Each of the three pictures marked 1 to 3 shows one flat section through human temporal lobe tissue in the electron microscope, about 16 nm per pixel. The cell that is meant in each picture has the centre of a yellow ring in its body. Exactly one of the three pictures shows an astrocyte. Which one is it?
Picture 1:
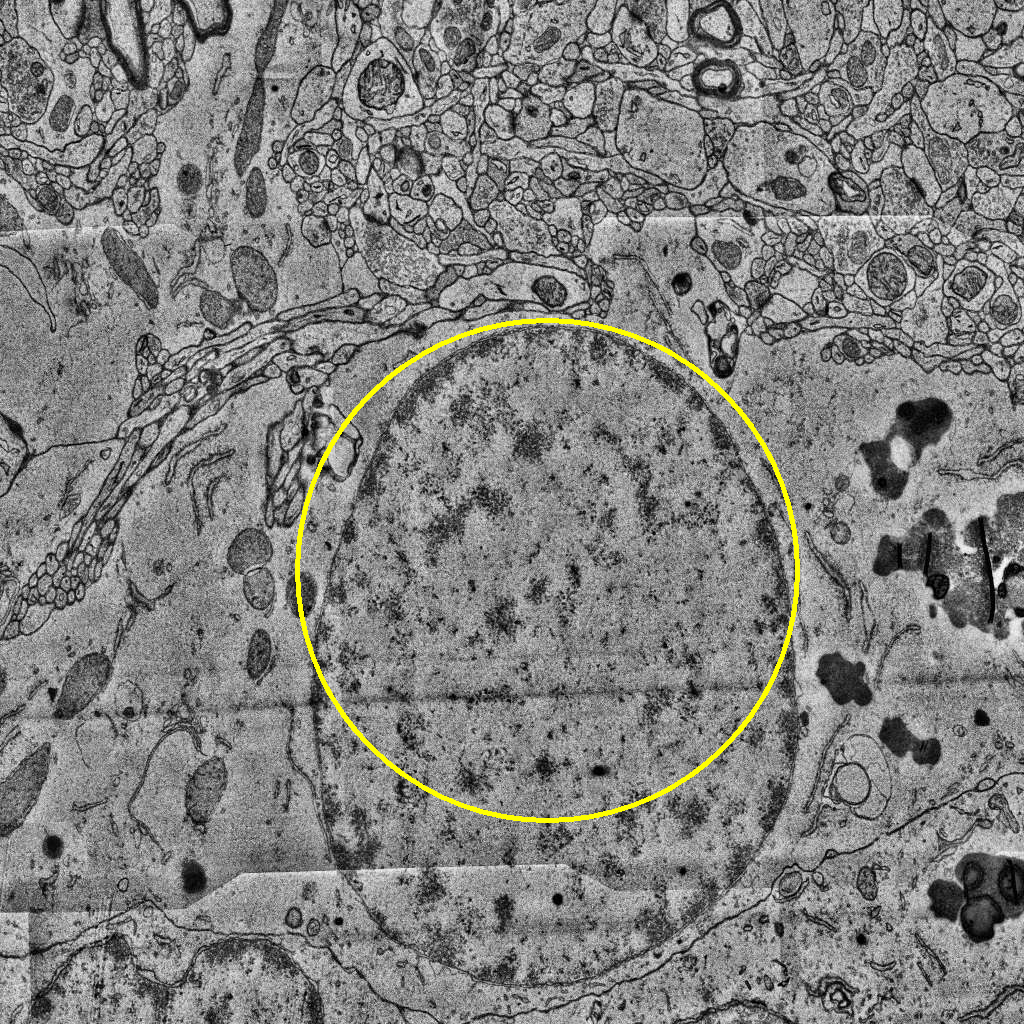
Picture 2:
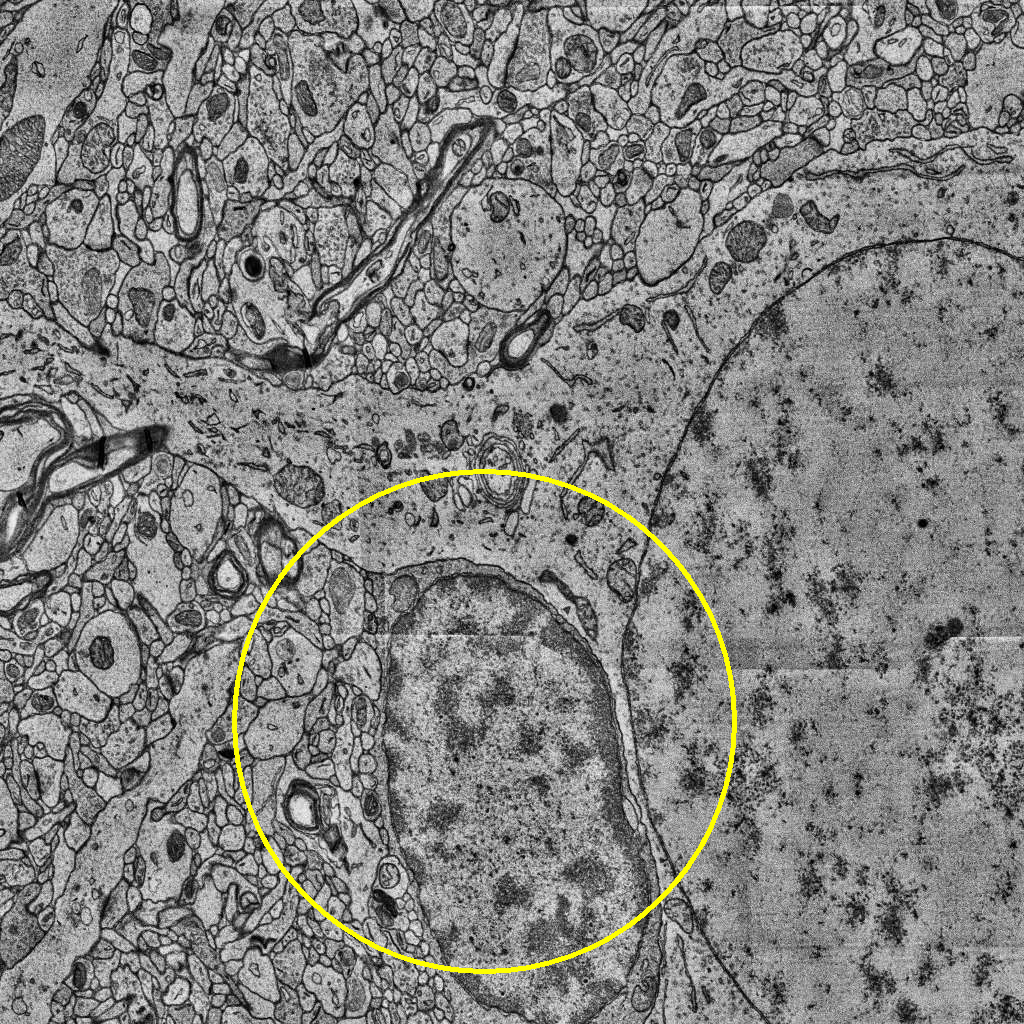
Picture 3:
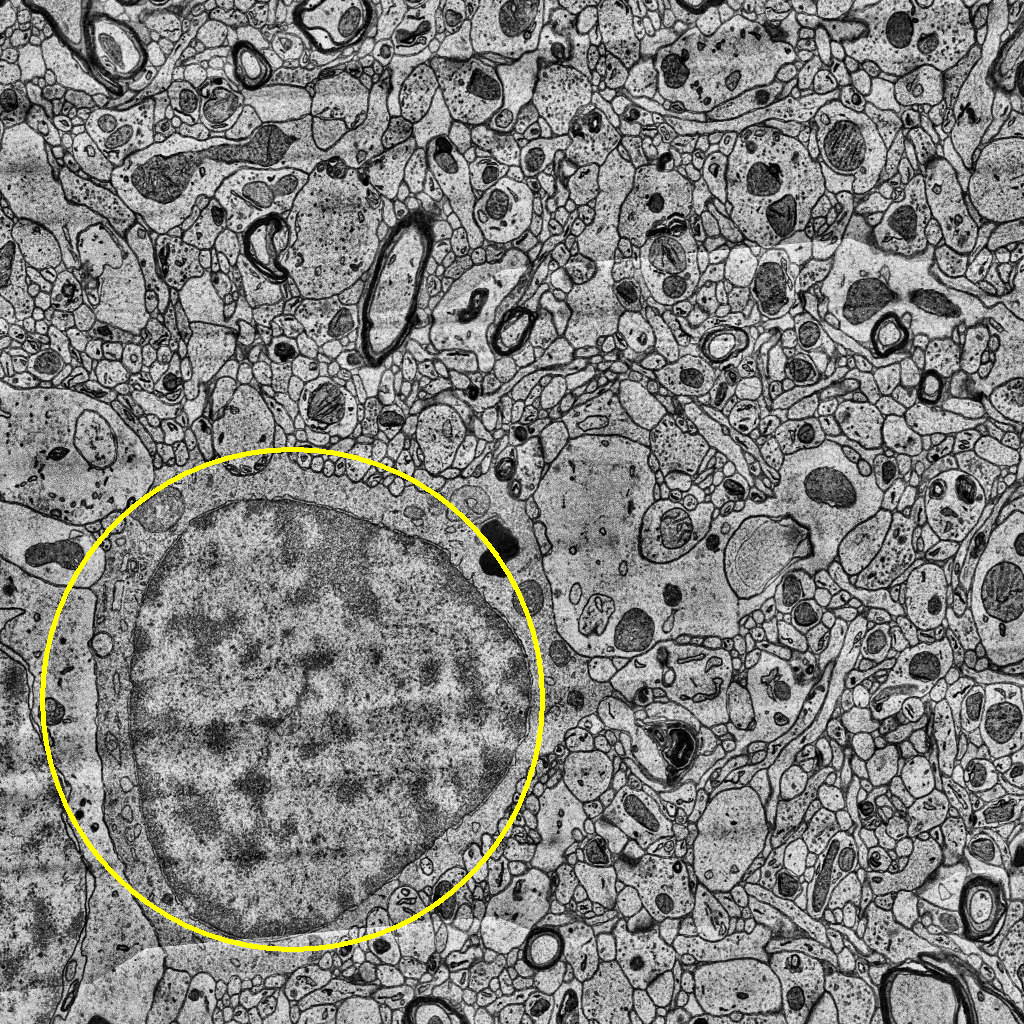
It is picture 1 that shows the astrocyte.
